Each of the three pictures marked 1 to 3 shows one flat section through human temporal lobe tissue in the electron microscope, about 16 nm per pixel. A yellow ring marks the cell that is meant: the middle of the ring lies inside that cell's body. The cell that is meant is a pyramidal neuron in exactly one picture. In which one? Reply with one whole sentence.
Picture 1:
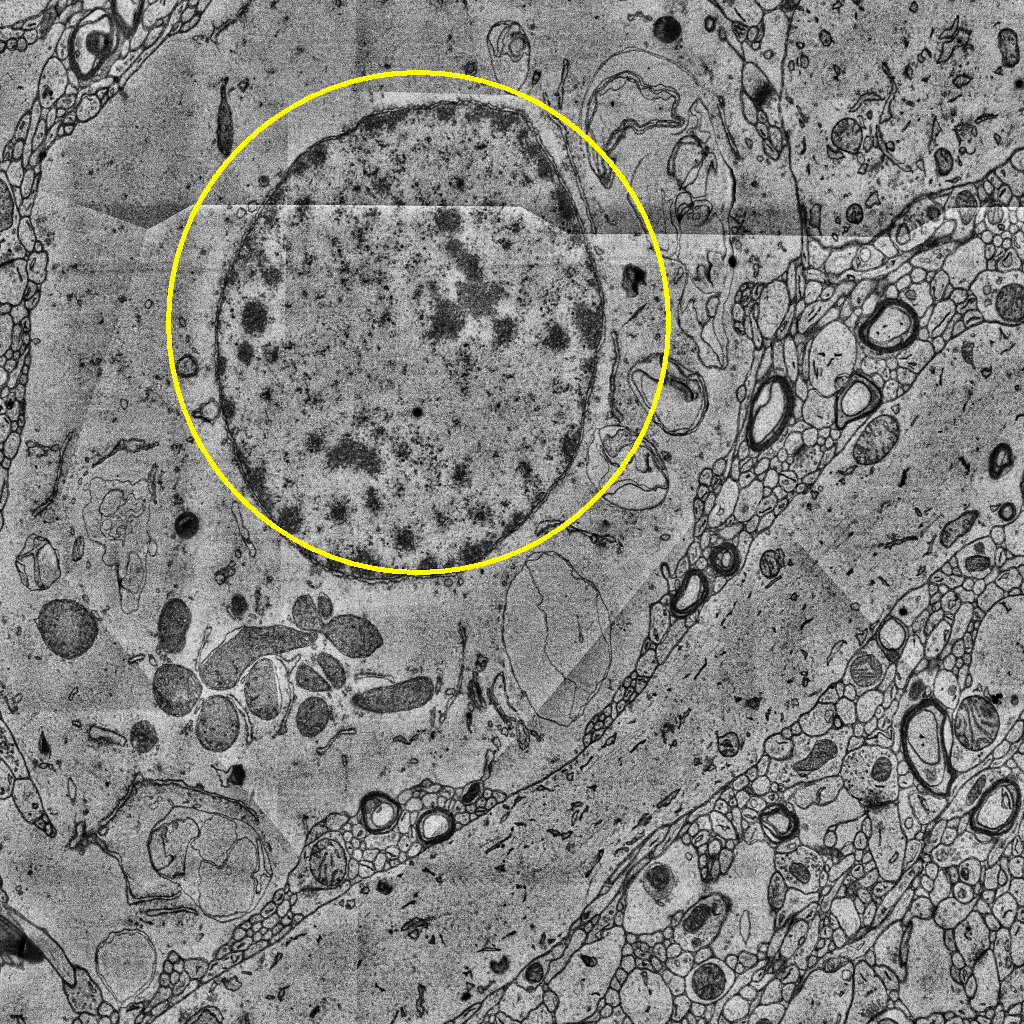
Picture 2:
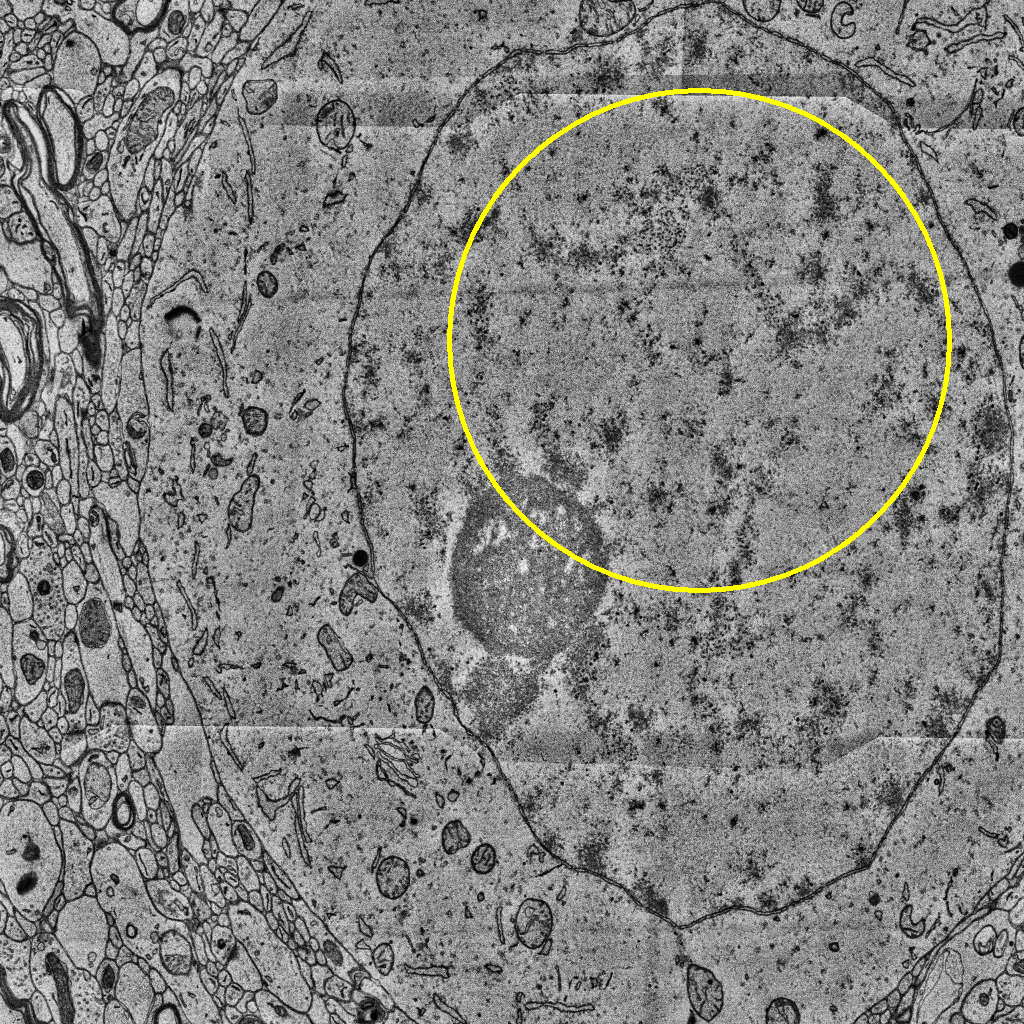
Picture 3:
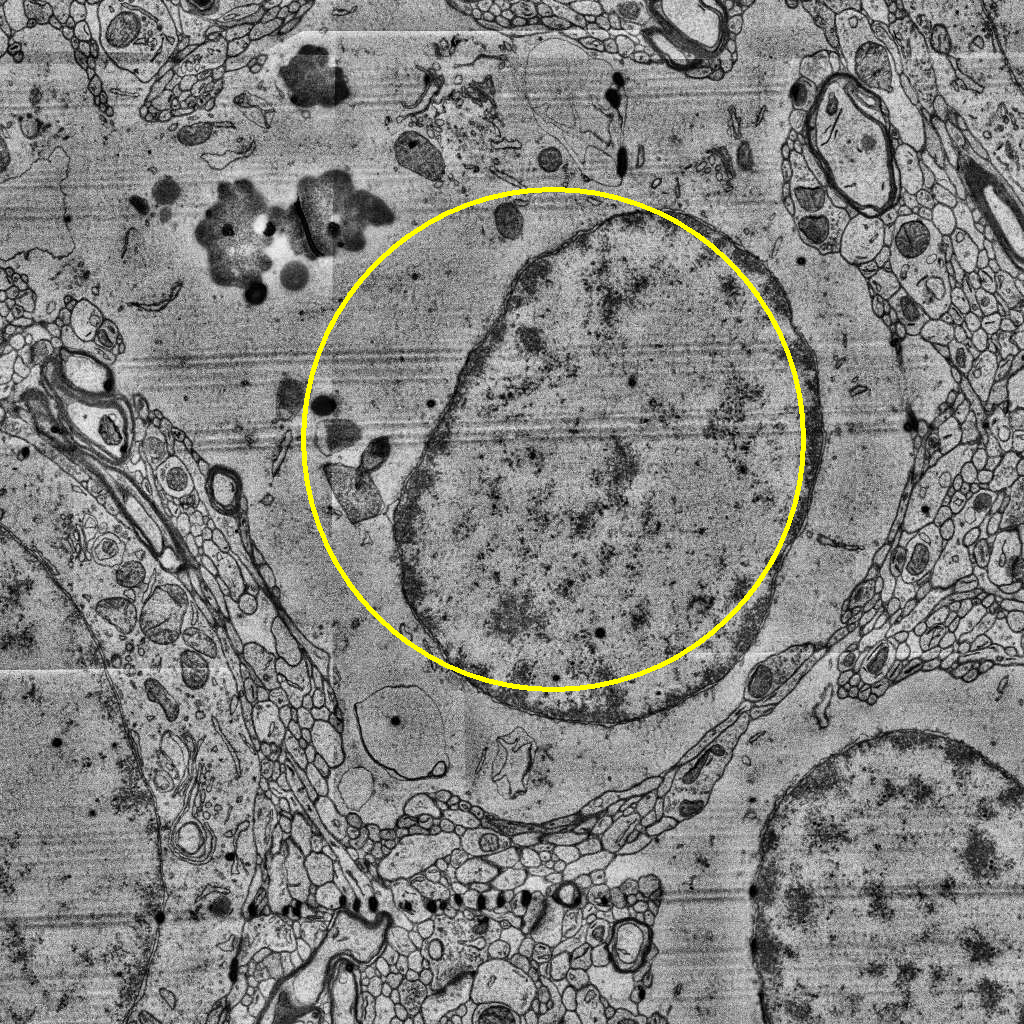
Picture 2 is the one that shows the pyramidal neuron.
